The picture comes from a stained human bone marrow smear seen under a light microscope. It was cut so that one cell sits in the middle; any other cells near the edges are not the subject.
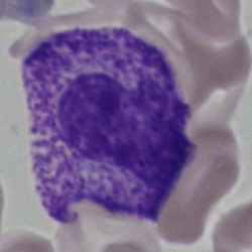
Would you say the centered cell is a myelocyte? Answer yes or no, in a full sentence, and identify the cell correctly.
Yes, the cell in the middle of the view is a myelocyte.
